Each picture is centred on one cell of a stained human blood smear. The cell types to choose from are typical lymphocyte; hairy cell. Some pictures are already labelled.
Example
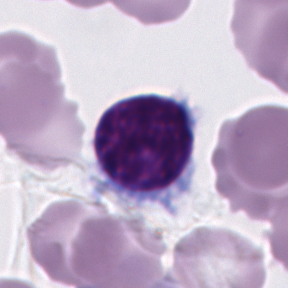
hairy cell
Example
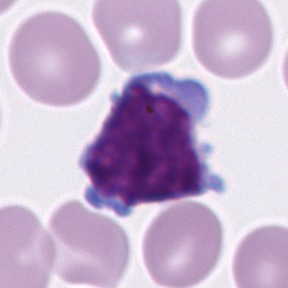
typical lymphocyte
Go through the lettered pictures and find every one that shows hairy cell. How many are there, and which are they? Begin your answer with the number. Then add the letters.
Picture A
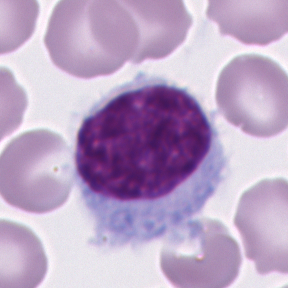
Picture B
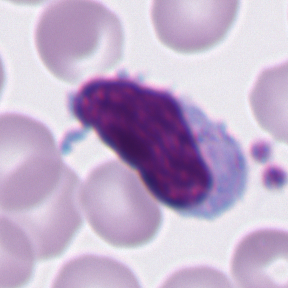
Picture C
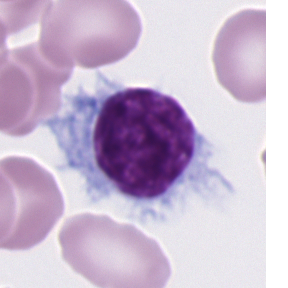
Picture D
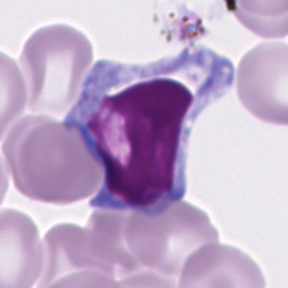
2, namely A, C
